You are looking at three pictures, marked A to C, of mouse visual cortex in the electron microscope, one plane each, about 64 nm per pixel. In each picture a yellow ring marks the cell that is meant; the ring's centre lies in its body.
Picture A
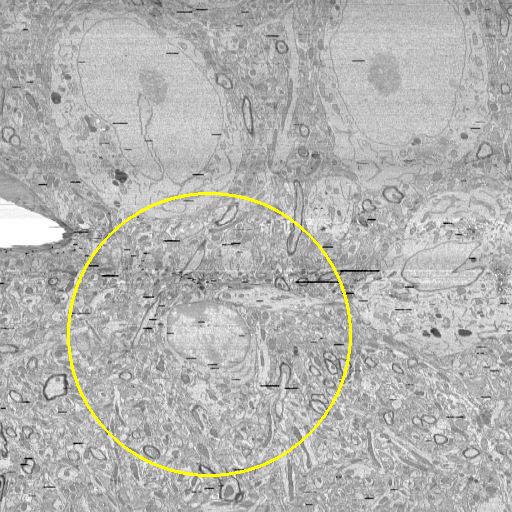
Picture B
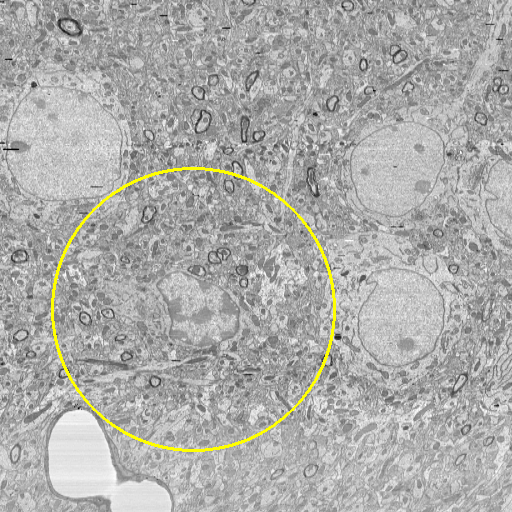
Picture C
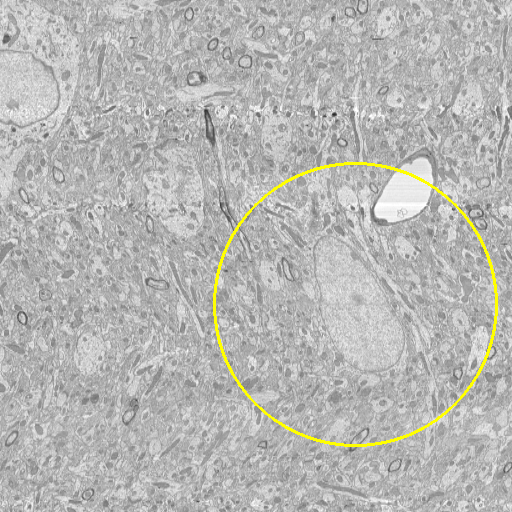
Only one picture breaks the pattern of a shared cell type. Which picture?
Picture C differs, because its cell is an astrocyte and the rest are oligodendrocytes.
